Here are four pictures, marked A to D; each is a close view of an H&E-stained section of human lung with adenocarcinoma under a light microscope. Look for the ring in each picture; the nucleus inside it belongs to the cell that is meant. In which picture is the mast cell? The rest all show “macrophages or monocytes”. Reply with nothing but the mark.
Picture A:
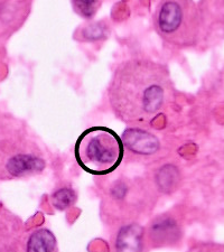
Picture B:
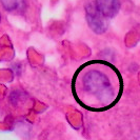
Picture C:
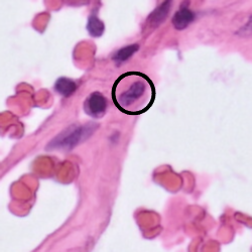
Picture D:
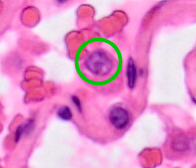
C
